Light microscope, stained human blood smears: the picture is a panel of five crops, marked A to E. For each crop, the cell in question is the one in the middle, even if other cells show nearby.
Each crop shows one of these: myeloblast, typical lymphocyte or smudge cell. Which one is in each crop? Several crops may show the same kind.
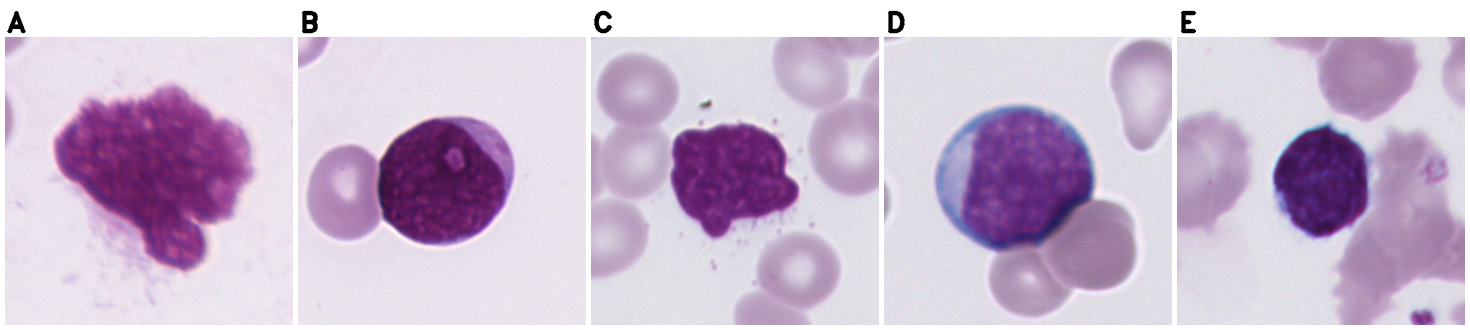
A: smudge cell
B: myeloblast
C: smudge cell
D: myeloblast
E: typical lymphocyte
